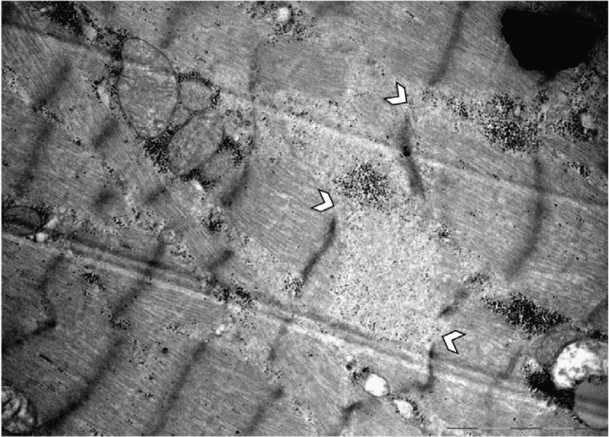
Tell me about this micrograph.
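A longitudinal view of skeletal muscle fiber shows myofibrils with fine filaments, but the dark transverse lines that should cross them in neat register are wavy, staggered and in places fade and break off. In the center a pale, finely granular zone interrupts the striated pattern. Oval mitochondria with cristae sit at the upper left, and small clusters of dark granules lie between myofibrils. This is disorganized sarcomeric structure of the muscle fiber, with the Z-discs dissolving where the striations lose their order.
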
